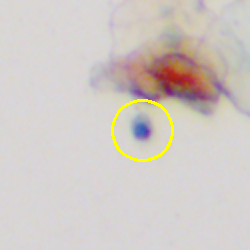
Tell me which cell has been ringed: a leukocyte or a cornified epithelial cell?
It is a leukocyte.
